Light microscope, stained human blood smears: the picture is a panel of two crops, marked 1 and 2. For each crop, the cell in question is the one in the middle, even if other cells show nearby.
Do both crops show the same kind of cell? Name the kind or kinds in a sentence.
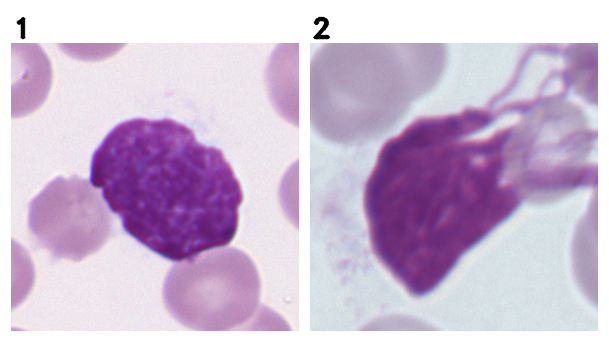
Yes, the middle cells in both crops are indeed smudge cells.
